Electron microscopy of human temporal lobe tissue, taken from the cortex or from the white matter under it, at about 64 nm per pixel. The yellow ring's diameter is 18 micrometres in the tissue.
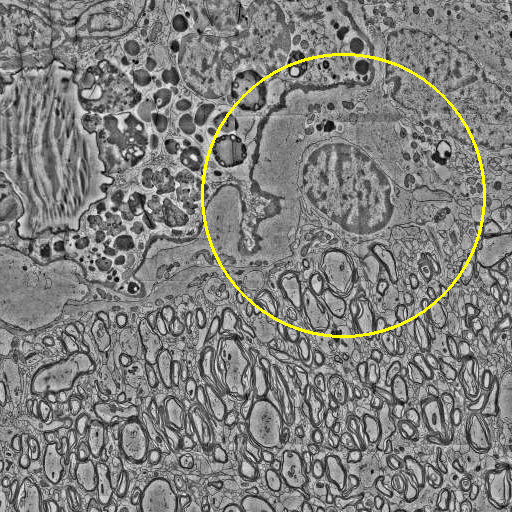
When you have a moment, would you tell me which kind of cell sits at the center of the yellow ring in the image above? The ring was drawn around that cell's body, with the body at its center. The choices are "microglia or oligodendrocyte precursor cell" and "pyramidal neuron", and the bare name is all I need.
microglia or oligodendrocyte precursor cell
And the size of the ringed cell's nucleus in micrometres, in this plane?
About 6 by 5 micrometers, in this plane.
